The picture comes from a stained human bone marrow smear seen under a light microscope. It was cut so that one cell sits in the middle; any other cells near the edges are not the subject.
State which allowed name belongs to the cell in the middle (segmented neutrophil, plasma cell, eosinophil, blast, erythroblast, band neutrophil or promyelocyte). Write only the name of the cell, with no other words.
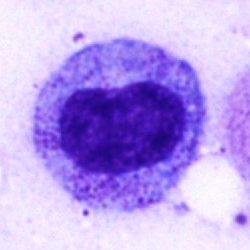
promyelocyte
